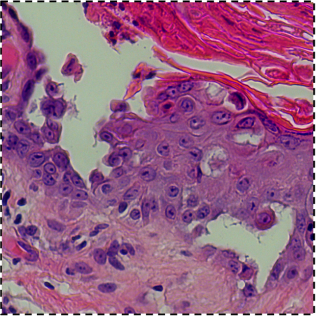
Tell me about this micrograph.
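Epidermis of skin in which keratinocytes have lost cohesion, with irregular empty clefts running through the epithelium. Cells along the clefts are rounded and lie loose, with round nuclei and prominent nucleoli. Some cells show dense, bright pink cytoplasm with small dark nuclei, a sign of aberrant cornification. Above lies a pink, layered cornified surface, and pale connective tissue lies below.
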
